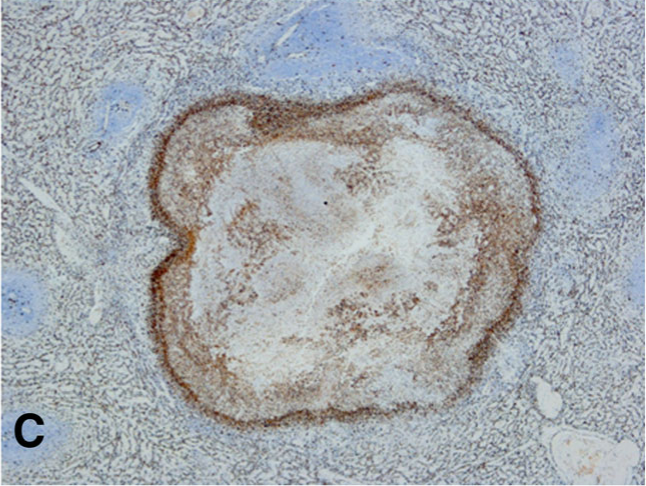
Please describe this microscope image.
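The brown staining forms a dense, continuous band at the edge of the nodule. The centre is pale, with patchy fainter brown staining.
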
